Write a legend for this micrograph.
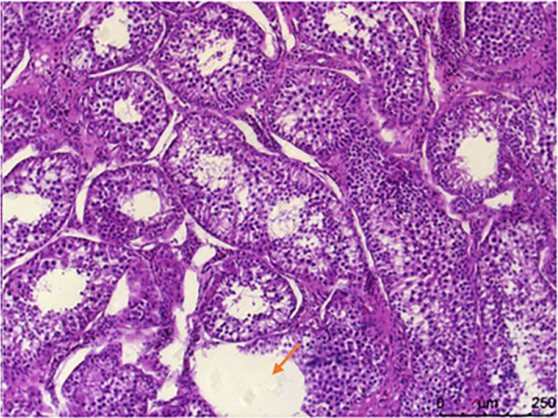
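Seminiferous tubules of the testis in cross and oblique section, lined by several layers of germ cells with dark purple nuclei around central lumens, many of which are wide and empty white. The tubules vary in shape and size and are unevenly arranged, some elongated and irregular. Between them, spaces are widened, and near the lower edge a large empty white space lies beside the tubules. Interstitial tissue appears as pale pink strands in the gaps.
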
